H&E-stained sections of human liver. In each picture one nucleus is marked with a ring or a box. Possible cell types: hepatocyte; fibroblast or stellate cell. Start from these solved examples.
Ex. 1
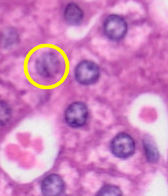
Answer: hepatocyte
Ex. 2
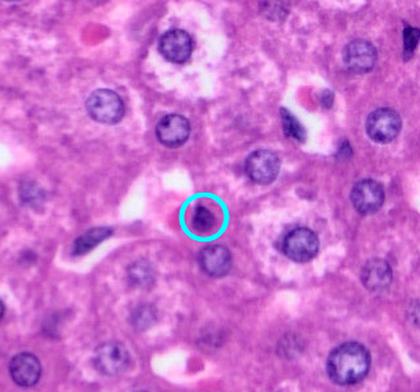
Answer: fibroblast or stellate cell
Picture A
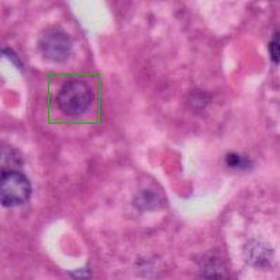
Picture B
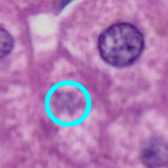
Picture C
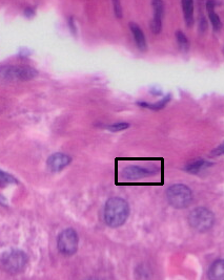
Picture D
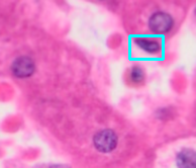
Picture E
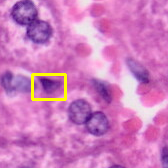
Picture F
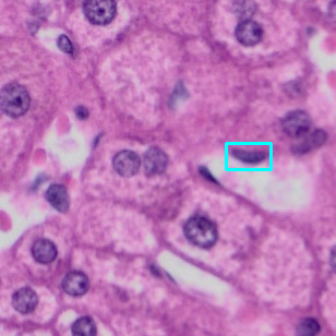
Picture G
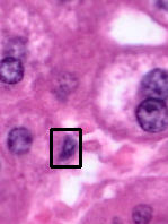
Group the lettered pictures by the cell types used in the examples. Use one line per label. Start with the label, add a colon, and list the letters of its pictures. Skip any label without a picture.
hepatocyte: A, B
fibroblast or stellate cell: C, D, E, F, G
